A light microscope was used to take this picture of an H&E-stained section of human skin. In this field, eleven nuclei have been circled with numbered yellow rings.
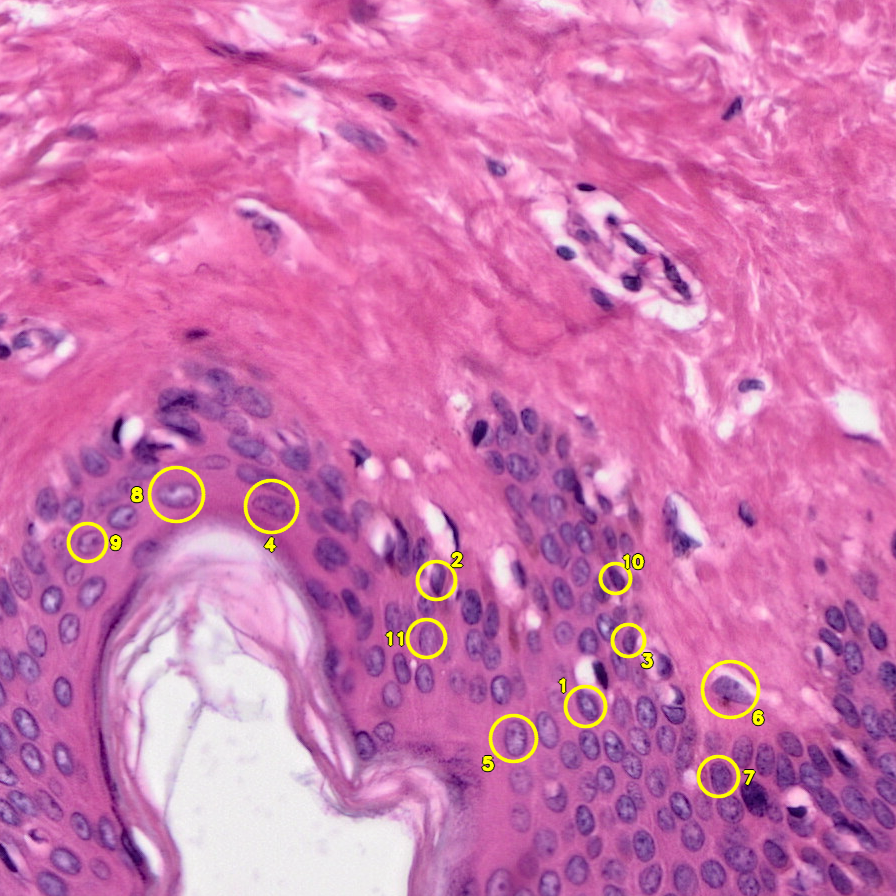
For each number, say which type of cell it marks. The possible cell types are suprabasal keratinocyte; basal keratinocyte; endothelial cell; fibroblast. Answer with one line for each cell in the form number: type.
1: suprabasal keratinocyte
2: basal keratinocyte
3: basal keratinocyte
4: suprabasal keratinocyte
5: suprabasal keratinocyte
6: fibroblast
7: basal keratinocyte
8: suprabasal keratinocyte
9: suprabasal keratinocyte
10: basal keratinocyte
11: suprabasal keratinocyte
